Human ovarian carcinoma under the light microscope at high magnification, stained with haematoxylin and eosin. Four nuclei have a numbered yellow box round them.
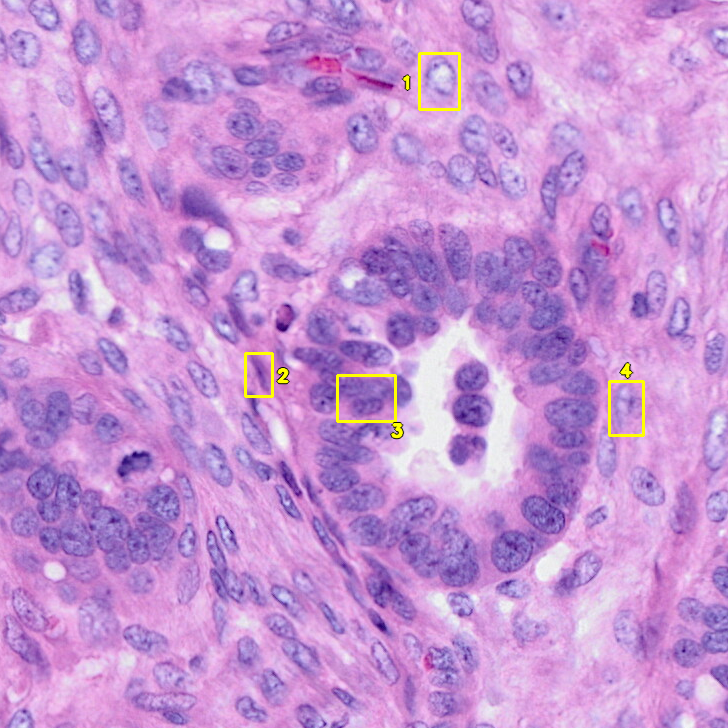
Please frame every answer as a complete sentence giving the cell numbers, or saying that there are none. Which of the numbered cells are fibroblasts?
The cells that have been numbered 1, 2 and 4 are fibroblasts.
